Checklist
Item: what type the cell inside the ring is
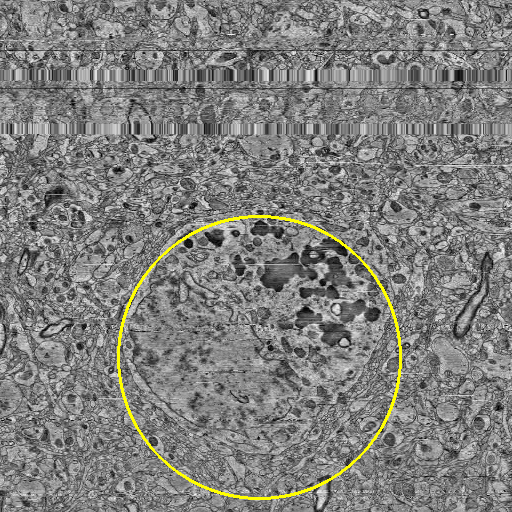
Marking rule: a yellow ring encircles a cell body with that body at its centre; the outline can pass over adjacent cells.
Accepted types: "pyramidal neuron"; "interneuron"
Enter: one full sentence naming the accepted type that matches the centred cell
The entry is that an interneuron lies at the centre of the yellow ring.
